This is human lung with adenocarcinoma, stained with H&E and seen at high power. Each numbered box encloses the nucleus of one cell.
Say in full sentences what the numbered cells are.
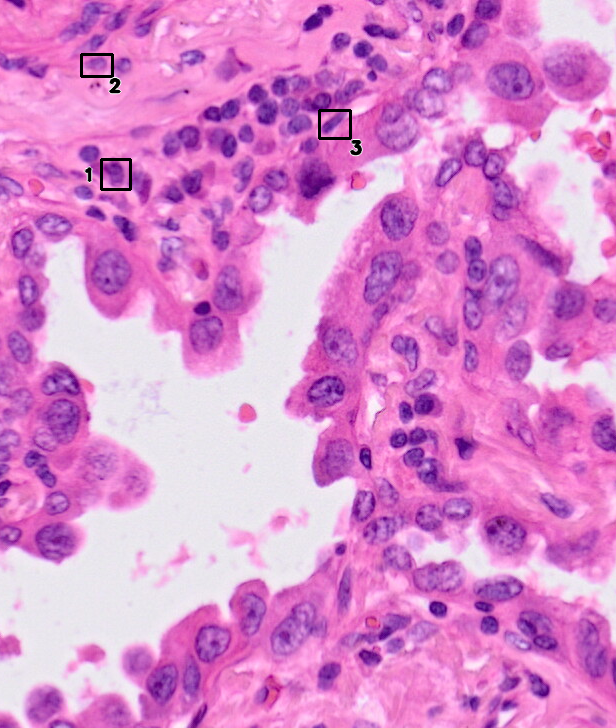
Cell 1 is a plasma cell, cell 2 is a smooth muscle cell or pericyte and cell 3 is a lymphocyte.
